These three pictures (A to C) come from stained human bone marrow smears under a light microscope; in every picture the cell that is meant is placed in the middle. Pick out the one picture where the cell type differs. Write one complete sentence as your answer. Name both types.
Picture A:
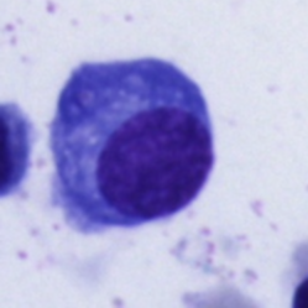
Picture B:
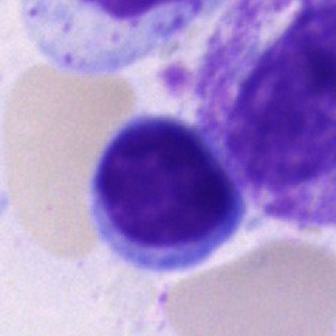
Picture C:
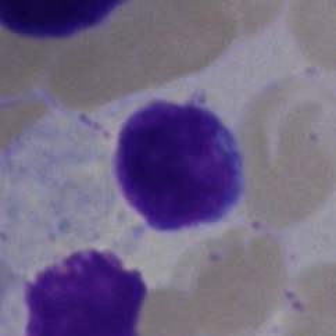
Picture A differs, because its cell is a plasma cell and the rest are lymphocytes.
